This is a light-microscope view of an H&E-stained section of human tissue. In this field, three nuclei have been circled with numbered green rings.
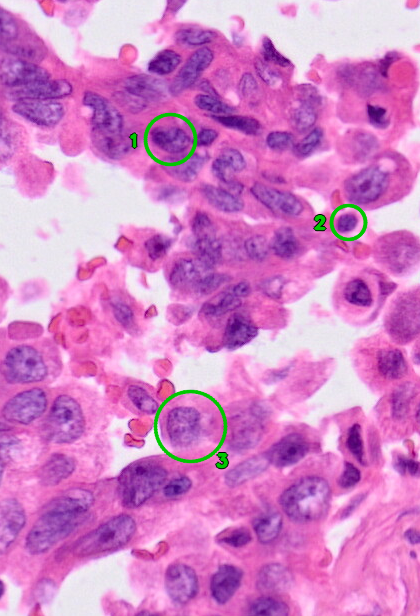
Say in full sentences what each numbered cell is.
Cells 1 and 3 are carcinoma cells. Cell 2 is a lymphocyte.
